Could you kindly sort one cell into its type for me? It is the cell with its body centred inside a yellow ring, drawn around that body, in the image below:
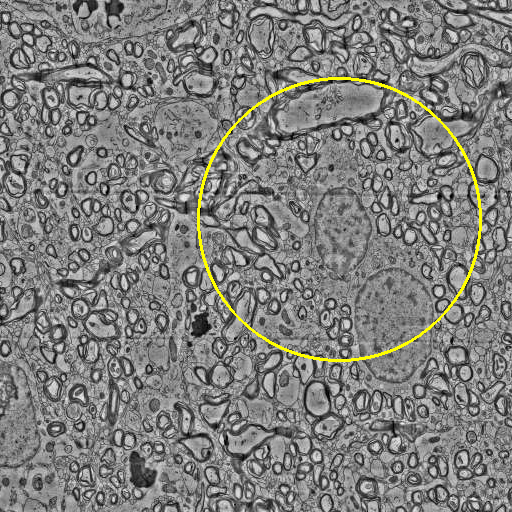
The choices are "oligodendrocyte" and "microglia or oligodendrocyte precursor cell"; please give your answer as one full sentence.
The cell whose body lies centred in the yellow ring here is an oligodendrocyte.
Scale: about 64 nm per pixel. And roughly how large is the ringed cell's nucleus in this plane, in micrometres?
The ringed cell's nucleus is about 6 micrometres long and 4 micrometres wide in this plane.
